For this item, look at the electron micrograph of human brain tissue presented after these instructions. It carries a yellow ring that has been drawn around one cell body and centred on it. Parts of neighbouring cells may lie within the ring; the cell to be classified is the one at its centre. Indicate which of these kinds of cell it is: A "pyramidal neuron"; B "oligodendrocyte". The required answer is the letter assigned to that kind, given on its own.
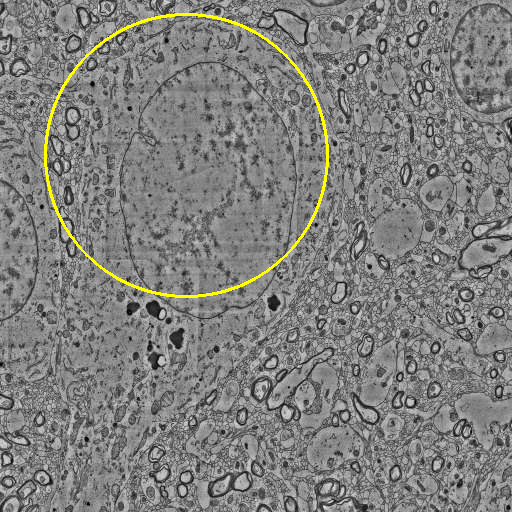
A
